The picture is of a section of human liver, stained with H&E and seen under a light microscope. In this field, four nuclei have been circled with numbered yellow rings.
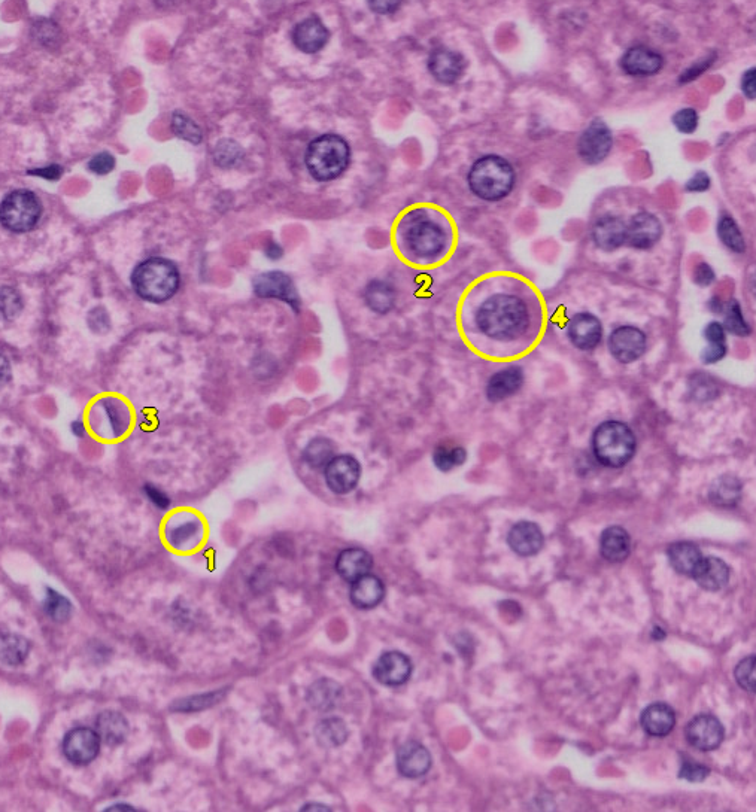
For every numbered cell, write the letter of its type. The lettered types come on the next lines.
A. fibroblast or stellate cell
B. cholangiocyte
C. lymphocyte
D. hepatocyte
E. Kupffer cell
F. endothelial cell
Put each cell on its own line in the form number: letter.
1: E
2: D
3: F
4: D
